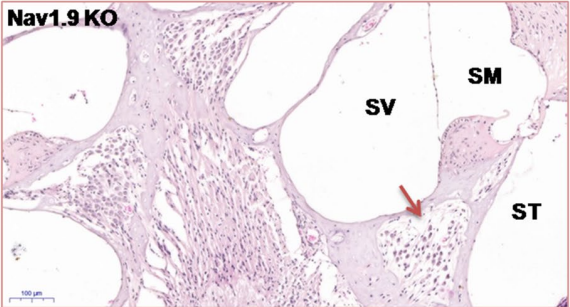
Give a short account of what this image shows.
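Here again is a section of the cochlea, with its empty fluid chambers divided by a thin membrane and bony walls stained pink. At the inner edge of the lower chambers lie clusters of spiral ganglion neurons within Rosenthal’s canal, seen as groups of rounded cell bodies with round nuclei, enclosed in bone. An arrow marks one such cluster near the bottom of the section. Pink bundles of nerve fibres run through the bony core alongside these clusters.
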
